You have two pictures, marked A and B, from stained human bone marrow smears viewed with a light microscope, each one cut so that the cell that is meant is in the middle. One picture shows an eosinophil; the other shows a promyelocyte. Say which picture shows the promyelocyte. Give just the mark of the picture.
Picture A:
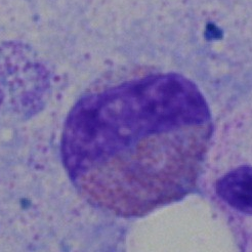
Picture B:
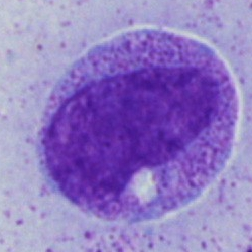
B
